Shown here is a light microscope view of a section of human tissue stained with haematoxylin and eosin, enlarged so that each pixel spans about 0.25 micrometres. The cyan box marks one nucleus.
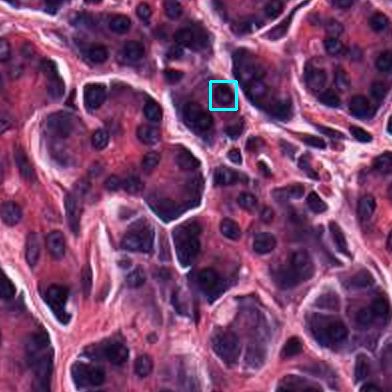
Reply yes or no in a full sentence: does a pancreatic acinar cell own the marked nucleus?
Yes, the marked nucleus is the nucleus of a pancreatic acinar cell in this section.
